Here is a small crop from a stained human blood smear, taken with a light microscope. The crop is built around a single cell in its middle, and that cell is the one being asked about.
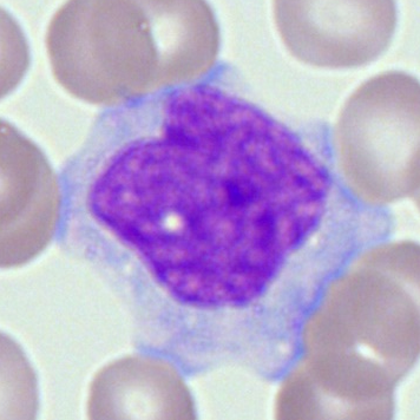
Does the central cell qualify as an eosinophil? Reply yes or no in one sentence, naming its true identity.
No, instead of being an eosinophil, the middle cell is a monocyte.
